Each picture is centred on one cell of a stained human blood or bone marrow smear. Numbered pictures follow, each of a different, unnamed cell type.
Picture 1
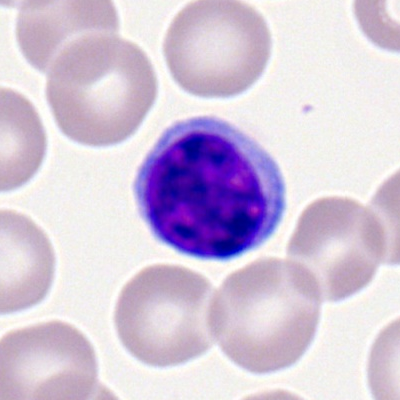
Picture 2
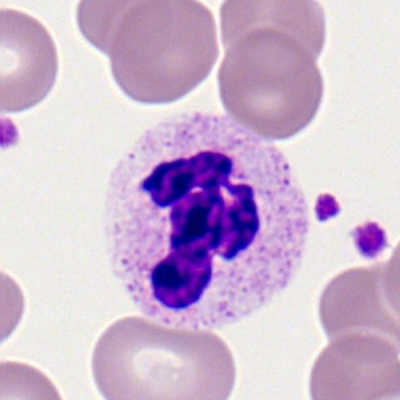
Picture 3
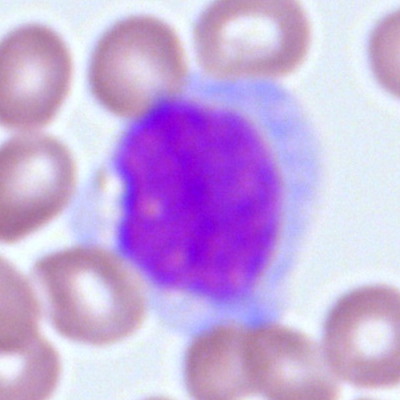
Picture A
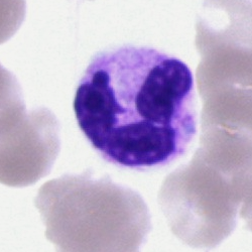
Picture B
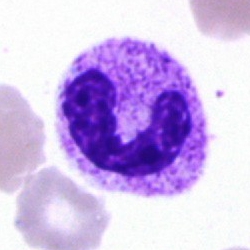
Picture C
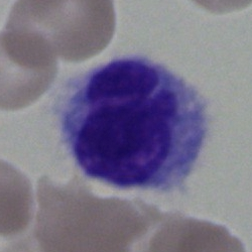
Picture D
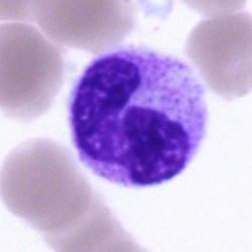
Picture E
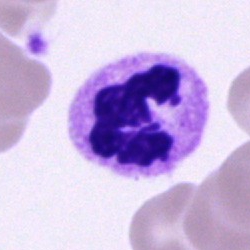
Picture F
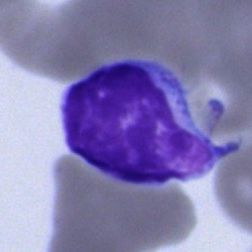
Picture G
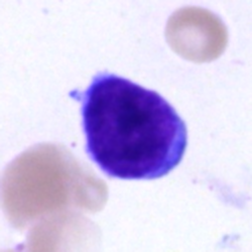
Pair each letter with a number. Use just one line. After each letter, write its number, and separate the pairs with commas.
A 2, B 2, C 3, D 2, E 2, F 1, G 1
